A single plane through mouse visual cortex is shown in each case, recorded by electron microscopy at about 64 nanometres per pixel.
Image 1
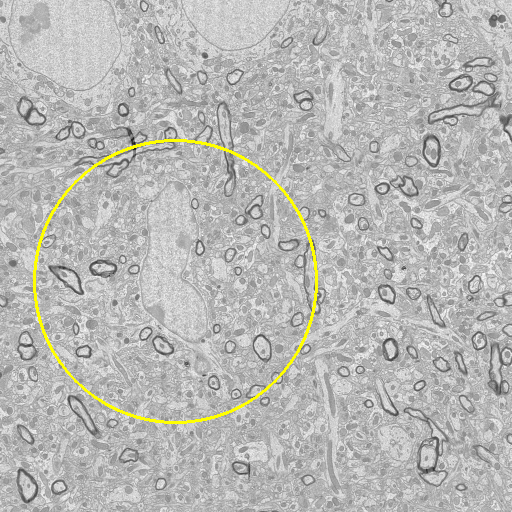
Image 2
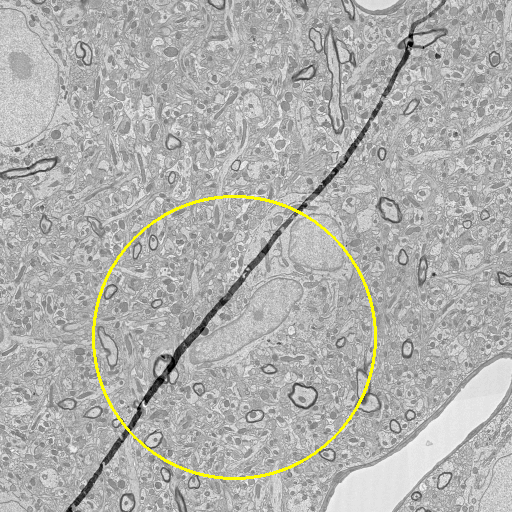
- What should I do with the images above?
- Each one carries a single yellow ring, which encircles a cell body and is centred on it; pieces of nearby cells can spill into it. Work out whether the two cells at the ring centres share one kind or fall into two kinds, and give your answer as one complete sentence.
The ring-centre cells of Image 1 and Image 2 share one kind.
